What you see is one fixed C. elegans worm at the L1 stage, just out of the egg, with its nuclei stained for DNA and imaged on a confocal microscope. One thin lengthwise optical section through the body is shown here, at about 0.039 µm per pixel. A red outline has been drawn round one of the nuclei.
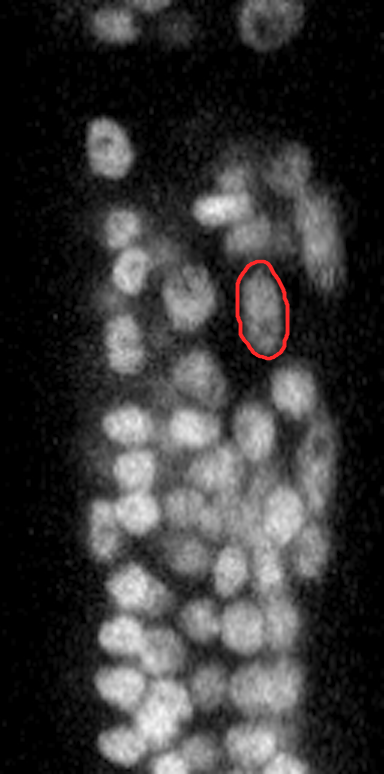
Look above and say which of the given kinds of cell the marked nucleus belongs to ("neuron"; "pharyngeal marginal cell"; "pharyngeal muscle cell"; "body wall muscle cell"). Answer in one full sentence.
It is the nucleus of a pharyngeal marginal cell.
